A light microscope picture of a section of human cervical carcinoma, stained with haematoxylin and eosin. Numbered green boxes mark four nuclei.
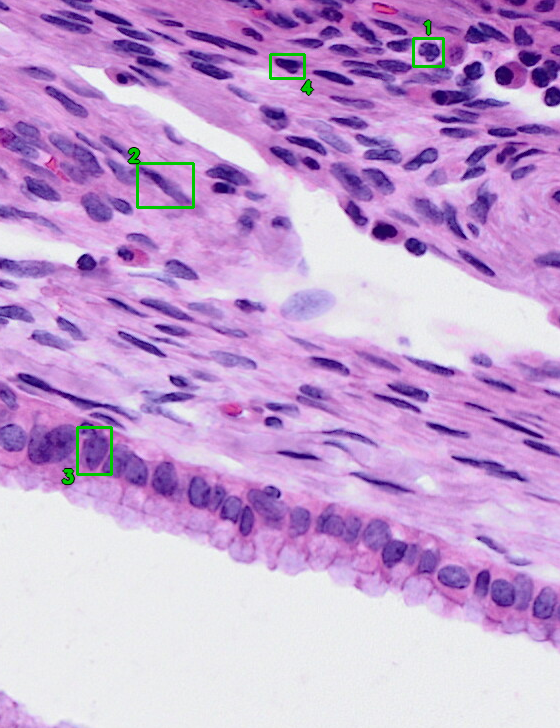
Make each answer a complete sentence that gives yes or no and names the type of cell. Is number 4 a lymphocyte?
Yes, it is a lymphocyte that number 4 identifies.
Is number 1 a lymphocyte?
Yes, that is so; number 1 marks a lymphocyte.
